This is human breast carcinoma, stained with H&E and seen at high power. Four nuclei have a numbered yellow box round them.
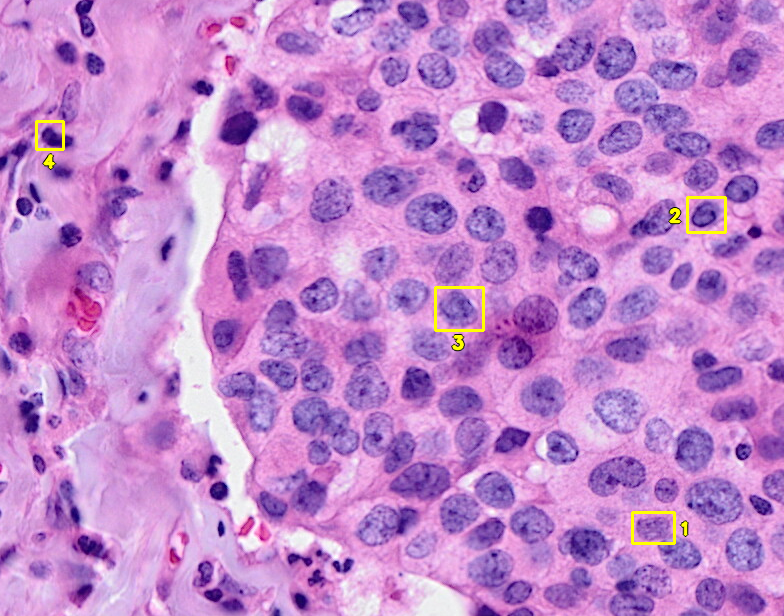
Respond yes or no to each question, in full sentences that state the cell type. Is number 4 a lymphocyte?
Yes, the cell that number 4 points to is a lymphocyte.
